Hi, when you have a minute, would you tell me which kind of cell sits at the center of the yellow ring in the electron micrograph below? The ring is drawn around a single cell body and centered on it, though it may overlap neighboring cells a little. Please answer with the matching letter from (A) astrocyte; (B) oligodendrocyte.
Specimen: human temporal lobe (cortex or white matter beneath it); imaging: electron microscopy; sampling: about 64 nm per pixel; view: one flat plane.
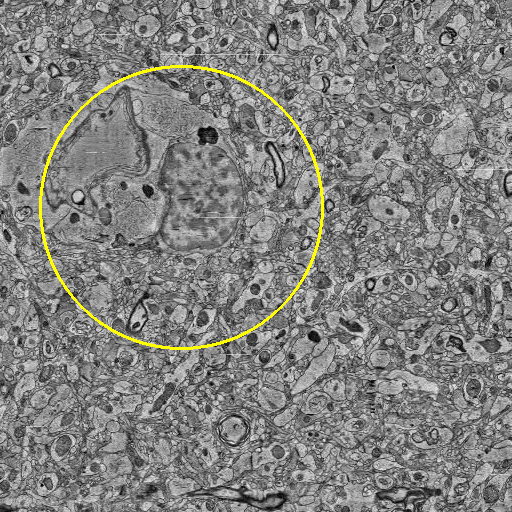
B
